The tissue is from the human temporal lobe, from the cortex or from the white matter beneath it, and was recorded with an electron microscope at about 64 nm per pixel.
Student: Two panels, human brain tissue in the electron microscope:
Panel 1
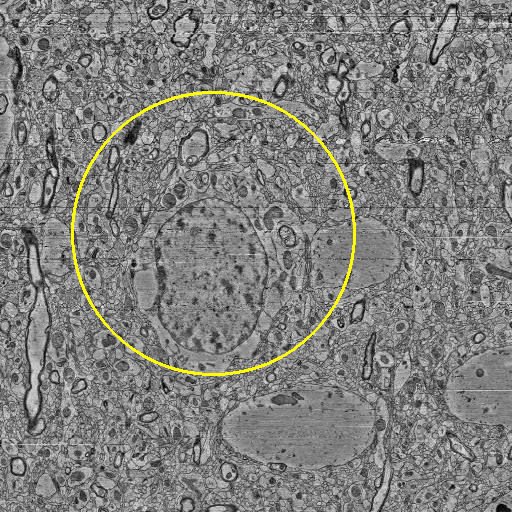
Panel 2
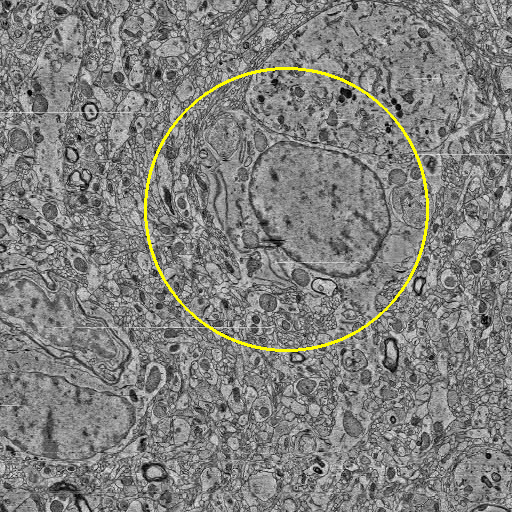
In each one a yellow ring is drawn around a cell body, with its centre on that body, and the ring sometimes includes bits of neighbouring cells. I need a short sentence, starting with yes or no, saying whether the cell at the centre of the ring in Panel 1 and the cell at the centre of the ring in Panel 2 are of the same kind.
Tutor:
Yes, they are the same kind of cell.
